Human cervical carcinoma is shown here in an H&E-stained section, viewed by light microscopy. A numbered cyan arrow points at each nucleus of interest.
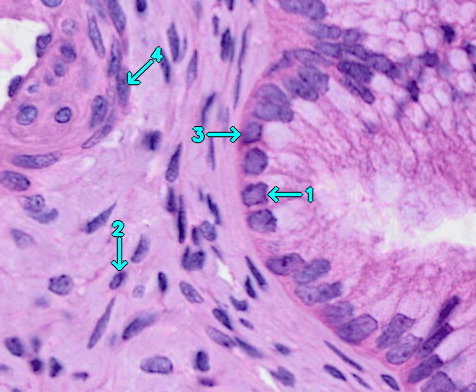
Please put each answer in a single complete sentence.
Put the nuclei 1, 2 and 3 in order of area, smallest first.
By area, going up from the smallest, they rank 2, 3, 1.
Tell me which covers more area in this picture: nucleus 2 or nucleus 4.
Number 4 is larger; its area is about 1.5 times that of number 2.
